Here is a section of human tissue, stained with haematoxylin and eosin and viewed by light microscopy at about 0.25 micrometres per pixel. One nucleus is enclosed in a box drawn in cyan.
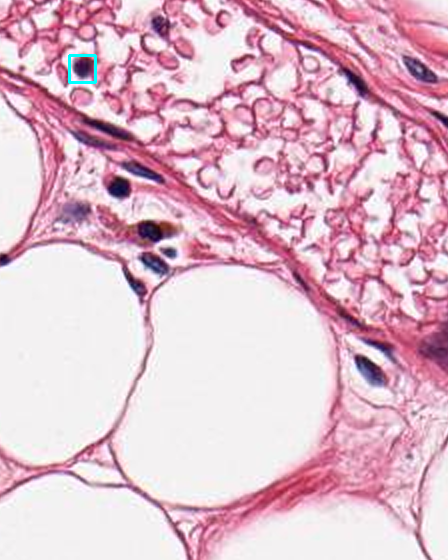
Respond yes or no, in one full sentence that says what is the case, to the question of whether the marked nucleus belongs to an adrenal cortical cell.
No, an adrenal cortical cell is not the cell of the marked nucleus; a supporting cell is.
